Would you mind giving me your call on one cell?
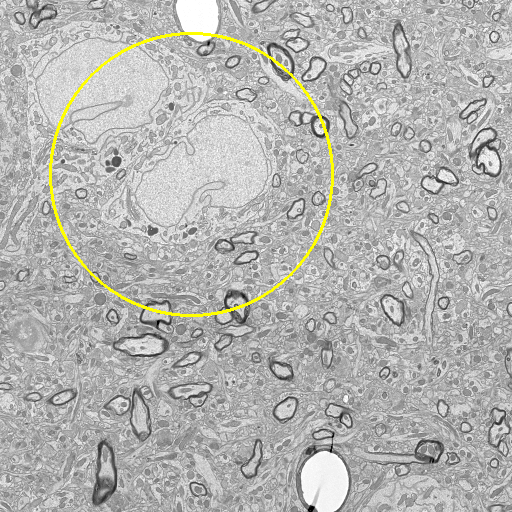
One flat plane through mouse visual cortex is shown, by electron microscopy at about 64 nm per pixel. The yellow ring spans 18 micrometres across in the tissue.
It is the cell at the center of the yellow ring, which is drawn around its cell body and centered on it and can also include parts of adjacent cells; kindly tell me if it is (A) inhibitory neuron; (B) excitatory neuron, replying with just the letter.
A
